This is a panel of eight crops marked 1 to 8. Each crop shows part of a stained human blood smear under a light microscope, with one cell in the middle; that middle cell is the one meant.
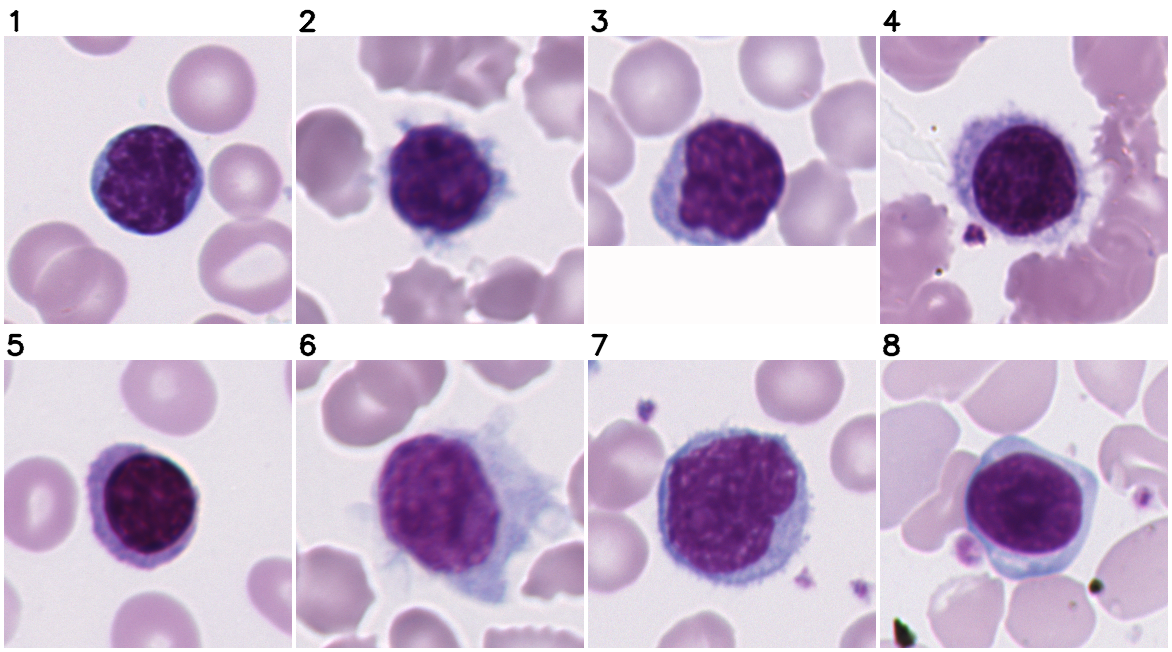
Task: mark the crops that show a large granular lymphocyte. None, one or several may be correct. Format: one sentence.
Of the crops given, a large granular lymphocyte is shown by crop 5 alone.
